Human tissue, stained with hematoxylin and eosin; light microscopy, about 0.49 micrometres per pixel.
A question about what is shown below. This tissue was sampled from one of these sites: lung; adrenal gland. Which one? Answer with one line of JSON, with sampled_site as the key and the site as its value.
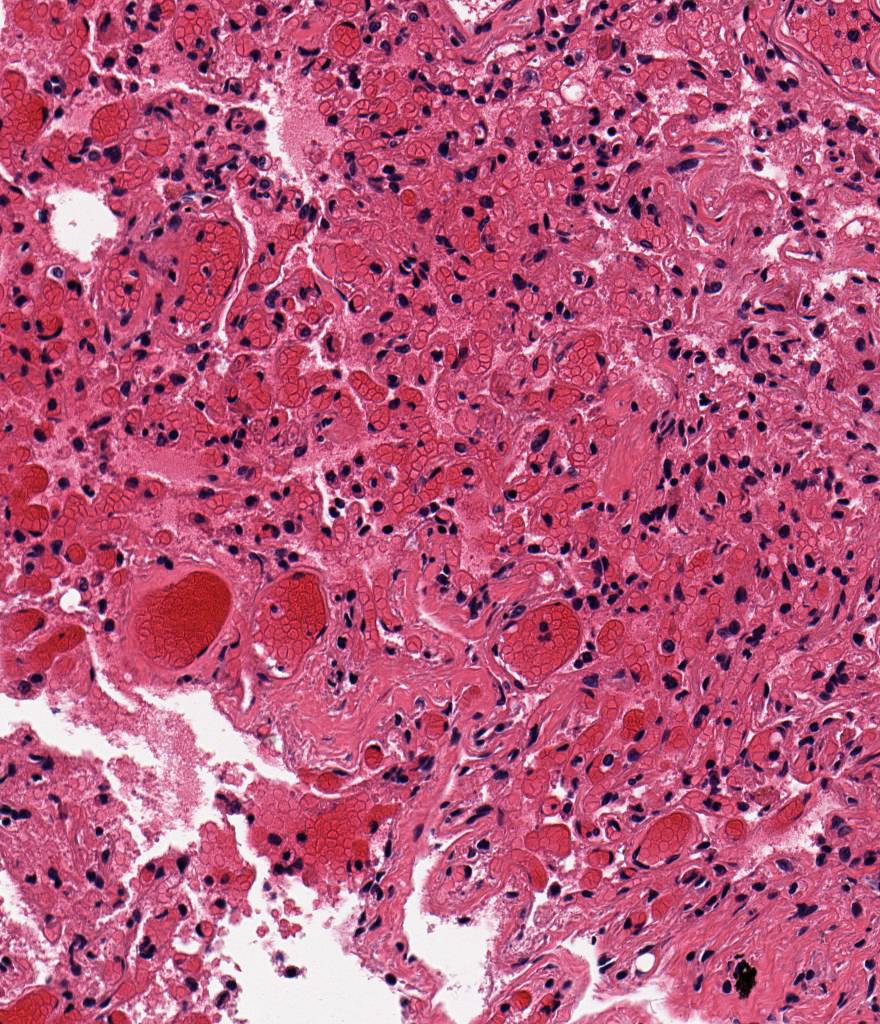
{"sampled_site": "lung"}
